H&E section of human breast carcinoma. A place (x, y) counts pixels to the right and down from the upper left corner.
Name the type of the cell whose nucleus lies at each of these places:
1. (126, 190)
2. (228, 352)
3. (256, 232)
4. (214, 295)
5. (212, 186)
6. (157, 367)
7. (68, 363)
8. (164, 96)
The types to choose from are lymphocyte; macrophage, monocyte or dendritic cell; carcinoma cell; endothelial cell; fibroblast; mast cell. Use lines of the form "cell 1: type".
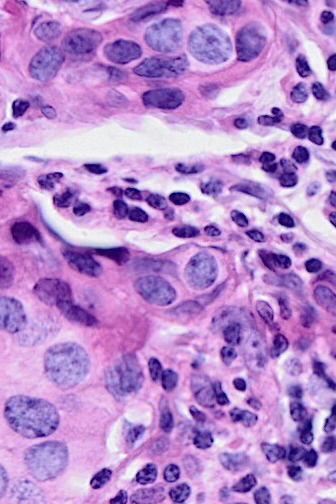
cell 1: lymphocyte
cell 2: lymphocyte
cell 3: lymphocyte
cell 4: carcinoma cell
cell 5: lymphocyte
cell 6: lymphocyte
cell 7: carcinoma cell
cell 8: carcinoma cell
